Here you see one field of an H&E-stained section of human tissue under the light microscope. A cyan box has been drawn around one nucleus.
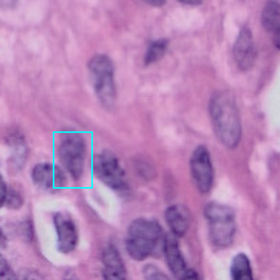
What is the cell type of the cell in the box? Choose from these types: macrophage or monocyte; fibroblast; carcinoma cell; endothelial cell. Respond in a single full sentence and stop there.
Assigned to a cell type, the cell in the box is a carcinoma cell.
